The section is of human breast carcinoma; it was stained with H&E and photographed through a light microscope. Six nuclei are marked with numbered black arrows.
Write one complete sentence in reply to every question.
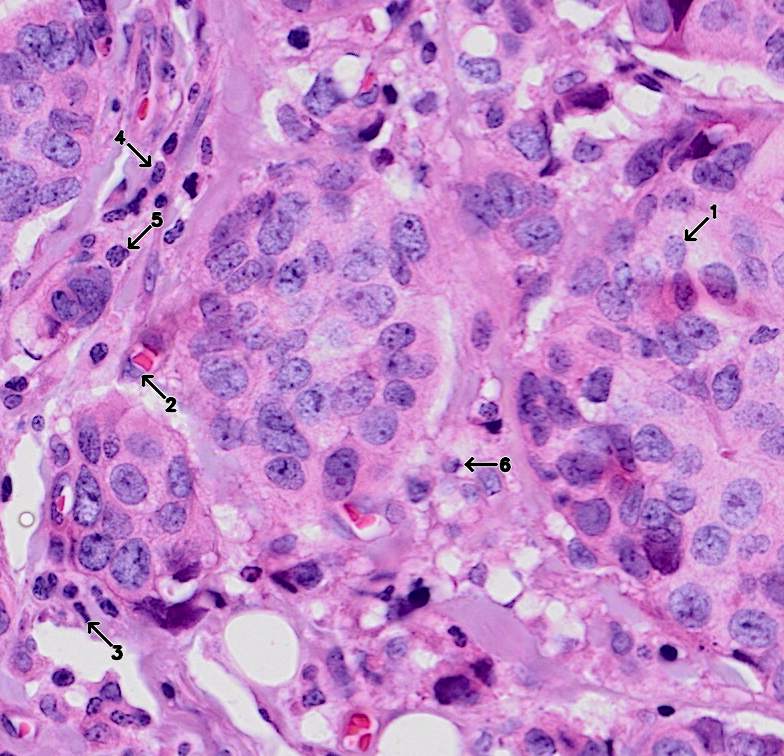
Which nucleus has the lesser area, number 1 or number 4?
Number 4 is smaller, since number 1 takes up about 2 times as much area.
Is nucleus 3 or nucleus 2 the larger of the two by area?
Nucleus 2 covers more area, about 2 times as much as nucleus 3.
